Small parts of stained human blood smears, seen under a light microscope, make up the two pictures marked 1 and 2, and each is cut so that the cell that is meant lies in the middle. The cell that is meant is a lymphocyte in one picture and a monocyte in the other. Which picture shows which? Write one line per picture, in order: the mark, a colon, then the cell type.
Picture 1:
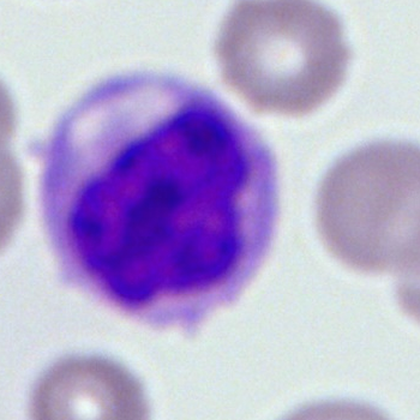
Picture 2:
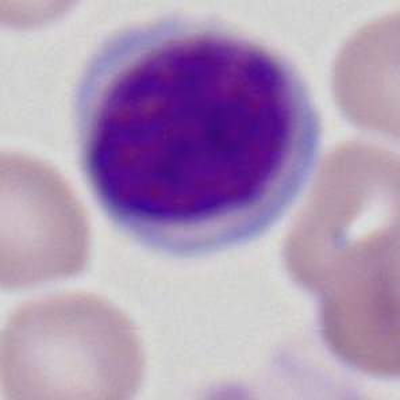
1: monocyte
2: lymphocyte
